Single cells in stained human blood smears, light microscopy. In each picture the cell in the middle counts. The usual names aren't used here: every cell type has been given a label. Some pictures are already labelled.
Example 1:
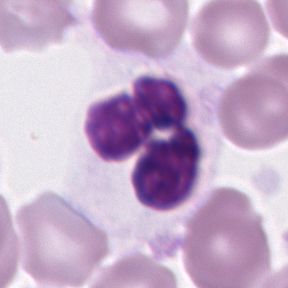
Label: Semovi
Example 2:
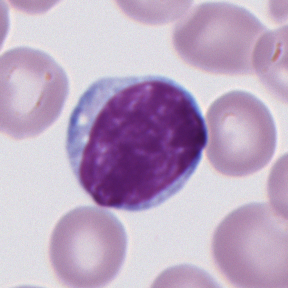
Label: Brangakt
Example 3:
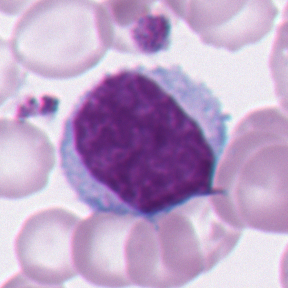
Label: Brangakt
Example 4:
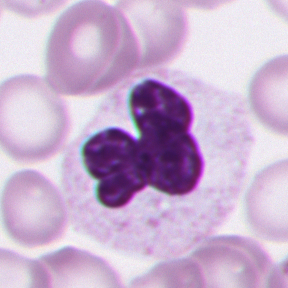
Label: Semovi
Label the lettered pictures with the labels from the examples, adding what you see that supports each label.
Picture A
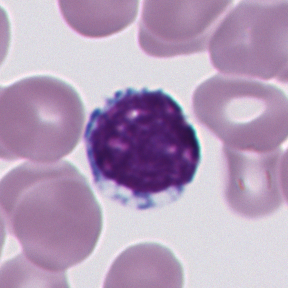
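Brangakt. The cytoplasm is scant, forming only a thin rim around the nucleus.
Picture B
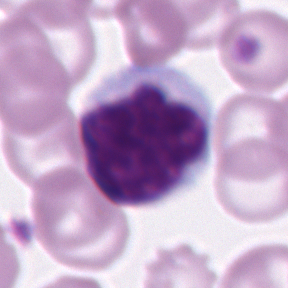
Brangakt. Only a narrow rim of pale blue cytoplasm surrounds the nucleus.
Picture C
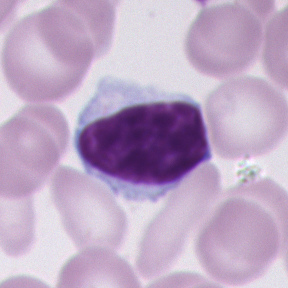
Brangakt. The cytoplasm is scant and lies mainly as caps above and below the nucleus.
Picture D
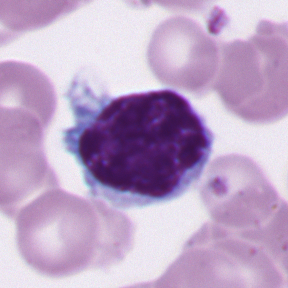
Brangakt. The cytoplasm forms a narrow rim that is widest on the left side.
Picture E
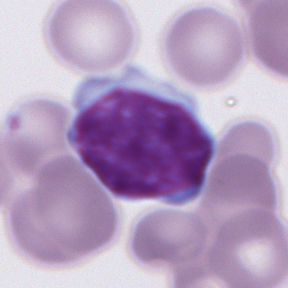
Brangakt. The cytoplasm is a scant rim that is widest along the top edge of the cell.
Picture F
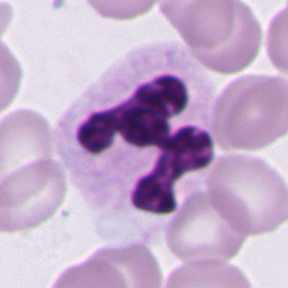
Semovi. The cytoplasm is plentiful and pale pinkish-lilac.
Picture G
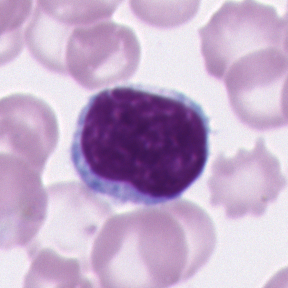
Brangakt. The cytoplasm forms a narrow pale blue rim around the nucleus.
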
